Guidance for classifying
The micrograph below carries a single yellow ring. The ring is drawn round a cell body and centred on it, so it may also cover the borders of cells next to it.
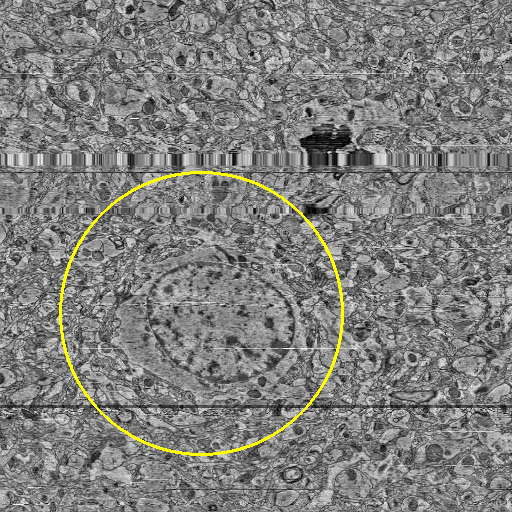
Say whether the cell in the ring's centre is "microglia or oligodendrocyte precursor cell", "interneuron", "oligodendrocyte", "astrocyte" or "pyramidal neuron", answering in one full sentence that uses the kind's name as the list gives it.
Within the yellow ring, an astrocyte is the cell whose body sits at the centre.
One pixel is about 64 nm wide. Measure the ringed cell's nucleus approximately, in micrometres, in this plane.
In this plane the nucleus measures roughly 10 by 8 micrometres.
